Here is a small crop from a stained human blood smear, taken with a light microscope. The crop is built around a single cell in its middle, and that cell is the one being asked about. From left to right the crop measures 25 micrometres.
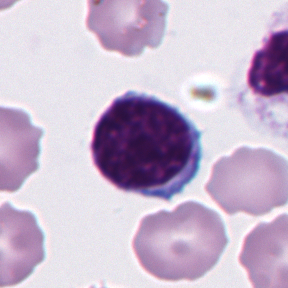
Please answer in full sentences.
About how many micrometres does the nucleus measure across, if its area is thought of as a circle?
The nucleus is about 8 micrometres across.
